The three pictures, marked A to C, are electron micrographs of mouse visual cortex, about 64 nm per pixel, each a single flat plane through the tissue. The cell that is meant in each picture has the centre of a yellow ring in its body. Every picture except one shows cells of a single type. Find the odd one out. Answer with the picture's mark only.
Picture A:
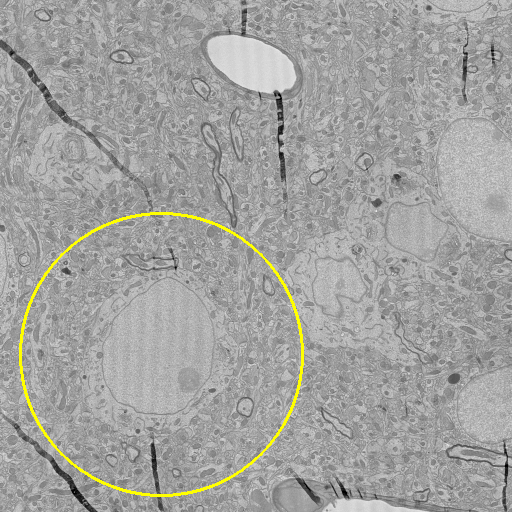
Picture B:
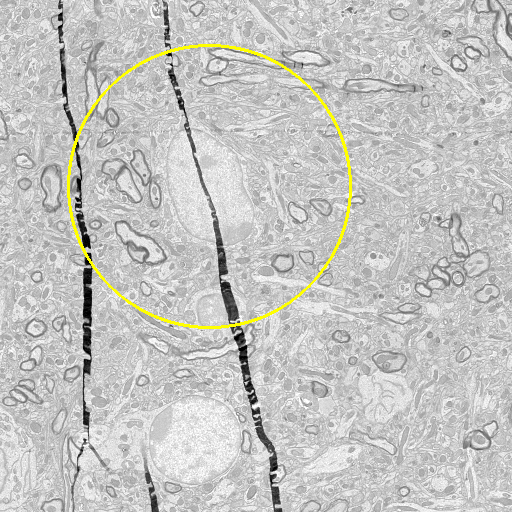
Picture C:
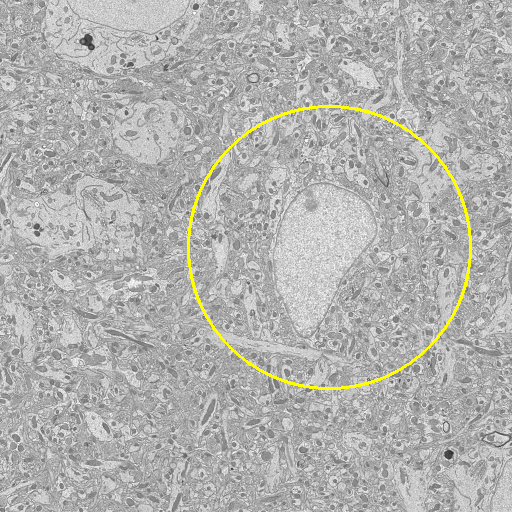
A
